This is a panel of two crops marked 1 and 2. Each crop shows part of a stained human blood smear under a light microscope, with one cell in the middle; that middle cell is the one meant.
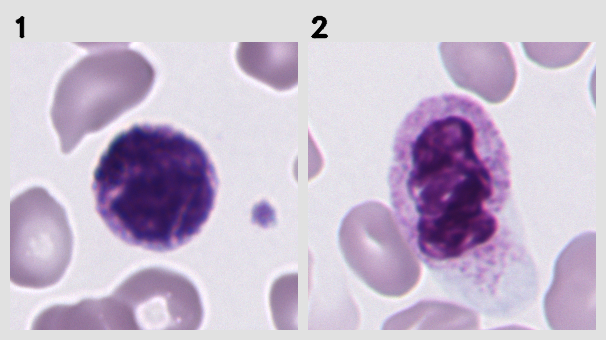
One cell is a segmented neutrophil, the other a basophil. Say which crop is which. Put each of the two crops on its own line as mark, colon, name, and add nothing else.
1: basophil
2: segmented neutrophil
